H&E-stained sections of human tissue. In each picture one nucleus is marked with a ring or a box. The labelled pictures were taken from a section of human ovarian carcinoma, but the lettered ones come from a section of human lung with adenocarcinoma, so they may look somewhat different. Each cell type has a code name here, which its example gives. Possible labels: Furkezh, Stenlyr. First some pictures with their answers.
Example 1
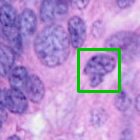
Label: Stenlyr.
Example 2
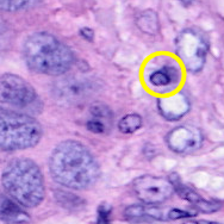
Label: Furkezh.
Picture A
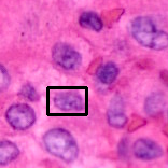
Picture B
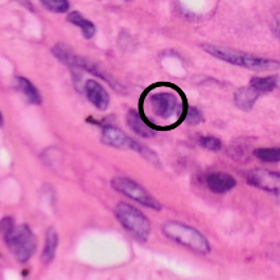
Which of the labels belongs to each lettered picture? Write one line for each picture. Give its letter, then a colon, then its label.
A: Stenlyr.
B: Furkezh.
